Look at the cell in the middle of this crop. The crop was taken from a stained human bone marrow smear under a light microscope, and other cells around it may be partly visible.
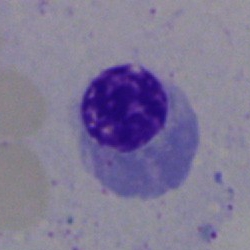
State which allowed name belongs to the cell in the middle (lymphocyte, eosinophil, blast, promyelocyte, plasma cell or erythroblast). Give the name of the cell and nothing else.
erythroblast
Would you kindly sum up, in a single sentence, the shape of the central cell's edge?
If you check the edge, you will find it smooth without projections.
